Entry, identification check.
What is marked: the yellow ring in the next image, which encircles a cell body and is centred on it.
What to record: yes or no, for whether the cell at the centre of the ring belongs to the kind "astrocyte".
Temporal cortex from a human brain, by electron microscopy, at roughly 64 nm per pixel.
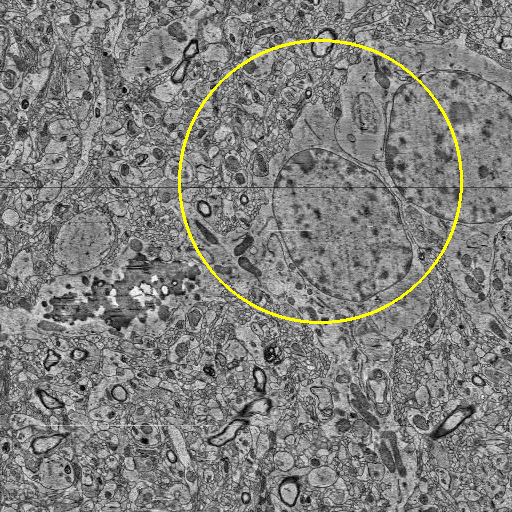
Yes, it belongs to that kind.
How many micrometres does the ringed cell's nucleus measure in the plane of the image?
The nucleus comes to roughly 11 by 8 micrometres in this plane.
